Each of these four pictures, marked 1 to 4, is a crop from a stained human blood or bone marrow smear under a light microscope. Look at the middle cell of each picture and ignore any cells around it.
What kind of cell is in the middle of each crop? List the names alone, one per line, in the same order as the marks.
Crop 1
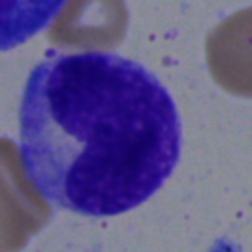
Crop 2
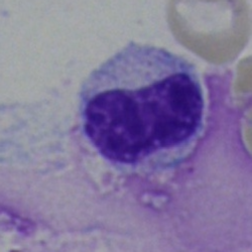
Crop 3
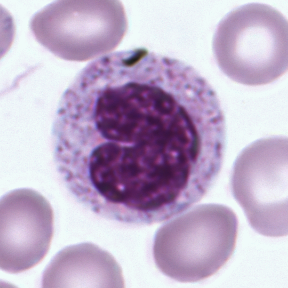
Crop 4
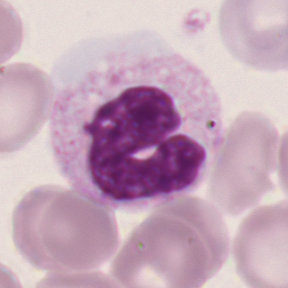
metamyelocyte
metamyelocyte
band neutrophil
band neutrophil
